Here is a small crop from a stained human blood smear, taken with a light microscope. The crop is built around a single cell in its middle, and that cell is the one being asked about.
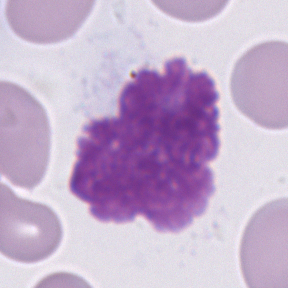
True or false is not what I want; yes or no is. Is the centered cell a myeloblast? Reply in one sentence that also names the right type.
No, what the centre of the crop shows is a smudge cell, not a myeloblast.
